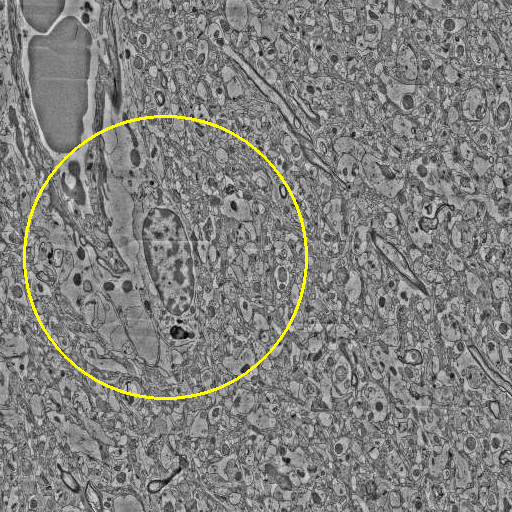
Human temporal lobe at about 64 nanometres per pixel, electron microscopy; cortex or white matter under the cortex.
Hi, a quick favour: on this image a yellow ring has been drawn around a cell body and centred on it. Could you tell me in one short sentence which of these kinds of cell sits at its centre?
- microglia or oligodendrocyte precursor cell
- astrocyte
The ring is centred on a microglial cell or oligodendrocyte precursor cell.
